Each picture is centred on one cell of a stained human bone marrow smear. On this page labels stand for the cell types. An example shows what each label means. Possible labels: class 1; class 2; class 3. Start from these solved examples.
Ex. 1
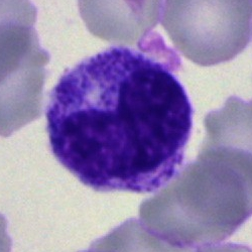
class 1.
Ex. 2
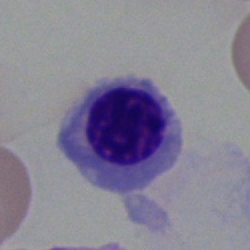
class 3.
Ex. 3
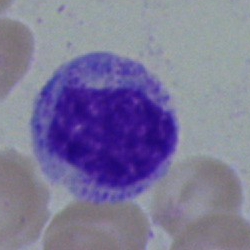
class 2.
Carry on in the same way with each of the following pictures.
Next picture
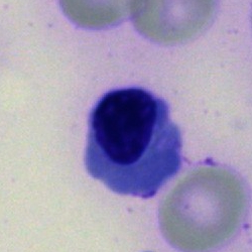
class 3.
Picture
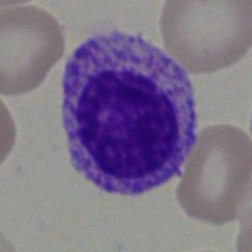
class 2.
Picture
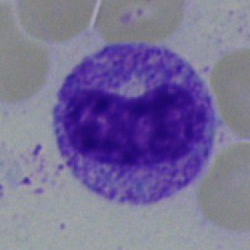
class 1.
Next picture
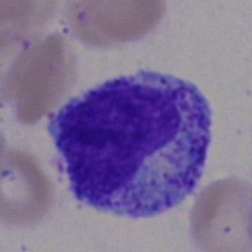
class 1.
